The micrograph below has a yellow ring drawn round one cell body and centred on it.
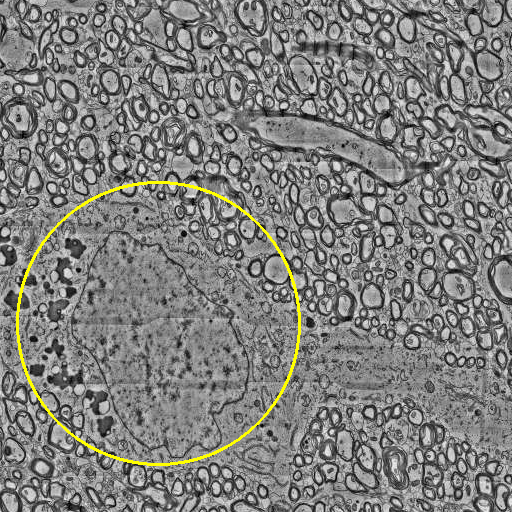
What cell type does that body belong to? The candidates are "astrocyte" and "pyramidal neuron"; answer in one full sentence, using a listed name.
This is a pyramidal neuron, the cell whose body lies at the centre of the ring.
